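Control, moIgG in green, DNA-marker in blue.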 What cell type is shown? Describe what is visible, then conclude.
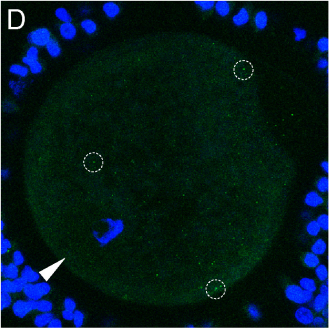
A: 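A single very large round cell fills the field. Many much smaller cells with blue nuclei crowd around its edge.
Answer: oocyte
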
